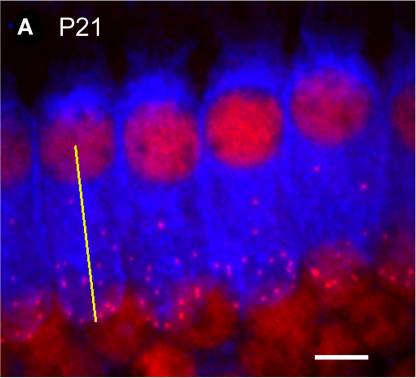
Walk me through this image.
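A row of inner hair cells of the cochlea is seen side by side, their bodies filled with blue signal. Each cell holds a large, round, red nucleus in its upper part. Beneath the row lie further rounded red nuclei of neighbouring cells.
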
